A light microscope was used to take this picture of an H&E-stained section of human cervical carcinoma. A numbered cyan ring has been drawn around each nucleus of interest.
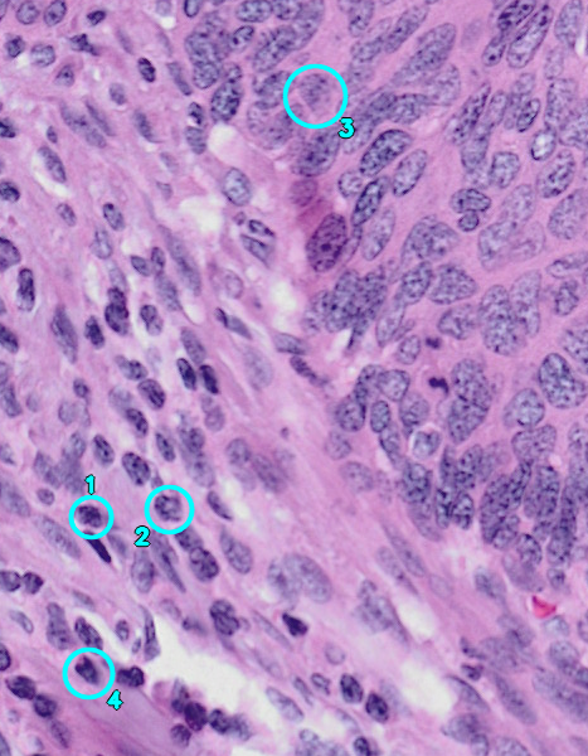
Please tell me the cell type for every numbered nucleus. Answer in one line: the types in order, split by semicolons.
lymphocyte; lymphocyte; squamous carcinoma cell; lymphocyte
